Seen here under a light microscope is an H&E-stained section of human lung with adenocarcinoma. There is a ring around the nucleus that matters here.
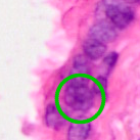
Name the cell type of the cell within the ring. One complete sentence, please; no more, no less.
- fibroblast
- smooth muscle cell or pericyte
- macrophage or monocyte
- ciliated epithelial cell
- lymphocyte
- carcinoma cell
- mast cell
The cell type represented by the cell within the ring is that of a ciliated epithelial cell.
